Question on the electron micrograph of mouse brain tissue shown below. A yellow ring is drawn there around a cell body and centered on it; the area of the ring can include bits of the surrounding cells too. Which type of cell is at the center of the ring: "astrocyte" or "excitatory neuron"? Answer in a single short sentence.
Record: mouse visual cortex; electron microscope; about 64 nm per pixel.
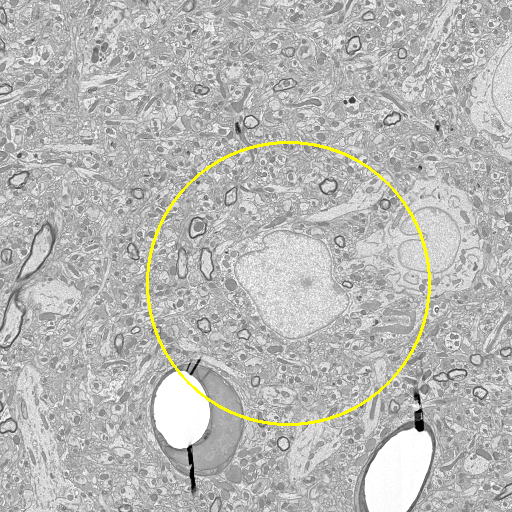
The ring is centered on an astrocyte.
